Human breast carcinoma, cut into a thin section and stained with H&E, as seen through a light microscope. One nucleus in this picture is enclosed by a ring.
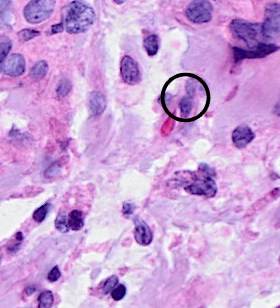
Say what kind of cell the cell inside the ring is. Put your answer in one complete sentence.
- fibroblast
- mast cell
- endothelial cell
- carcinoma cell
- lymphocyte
This is an endothelial cell.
